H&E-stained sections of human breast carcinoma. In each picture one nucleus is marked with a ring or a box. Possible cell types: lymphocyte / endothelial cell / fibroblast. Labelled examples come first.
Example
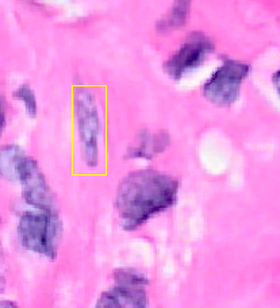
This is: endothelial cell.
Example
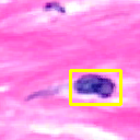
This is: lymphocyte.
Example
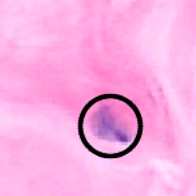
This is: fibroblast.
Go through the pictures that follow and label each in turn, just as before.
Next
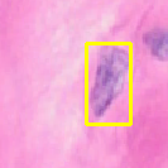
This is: fibroblast.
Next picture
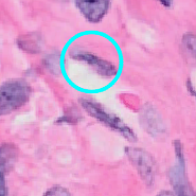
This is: endothelial cell.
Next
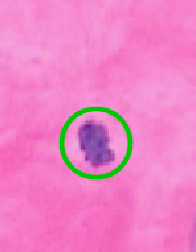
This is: lymphocyte.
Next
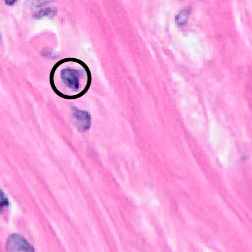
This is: lymphocyte.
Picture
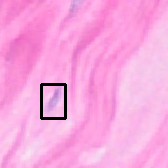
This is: fibroblast.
